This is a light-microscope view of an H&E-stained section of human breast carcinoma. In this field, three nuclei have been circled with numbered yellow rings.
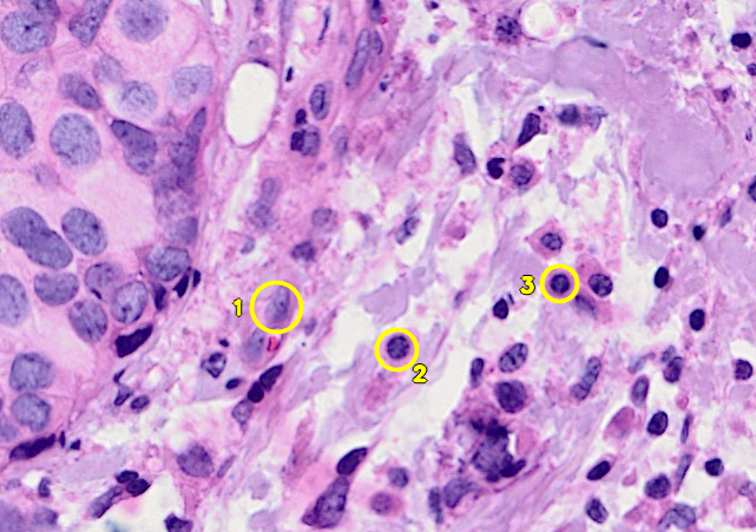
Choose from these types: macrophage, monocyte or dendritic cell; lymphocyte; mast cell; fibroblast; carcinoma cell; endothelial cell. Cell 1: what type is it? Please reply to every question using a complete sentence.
The marked nucleus 1 is that of an endothelial cell.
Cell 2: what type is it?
The cell identified by the number 2 is a mast cell.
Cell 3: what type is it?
The cell pointed out by number 3 is a mast cell.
